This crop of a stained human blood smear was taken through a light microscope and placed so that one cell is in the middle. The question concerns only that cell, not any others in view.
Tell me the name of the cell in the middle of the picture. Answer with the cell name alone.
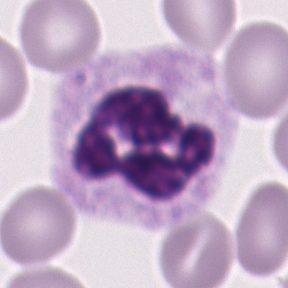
segmented neutrophil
